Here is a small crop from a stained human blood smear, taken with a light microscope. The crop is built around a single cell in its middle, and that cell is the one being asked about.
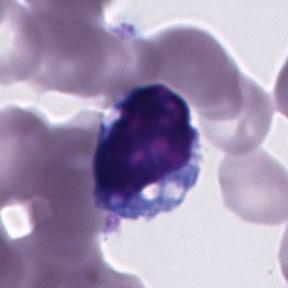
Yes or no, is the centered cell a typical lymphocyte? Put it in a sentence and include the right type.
Yes, the cell in the center of this crop is a typical lymphocyte.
